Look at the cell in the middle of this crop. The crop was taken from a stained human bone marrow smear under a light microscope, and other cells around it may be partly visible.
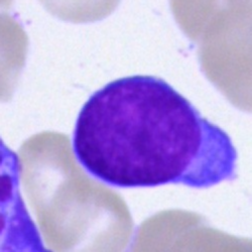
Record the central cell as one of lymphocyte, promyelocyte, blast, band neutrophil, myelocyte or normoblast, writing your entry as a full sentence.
The middle position in this crop is taken by a blast.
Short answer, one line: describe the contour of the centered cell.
An irregular outline, ragged or marked by projections, surrounds this cell.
